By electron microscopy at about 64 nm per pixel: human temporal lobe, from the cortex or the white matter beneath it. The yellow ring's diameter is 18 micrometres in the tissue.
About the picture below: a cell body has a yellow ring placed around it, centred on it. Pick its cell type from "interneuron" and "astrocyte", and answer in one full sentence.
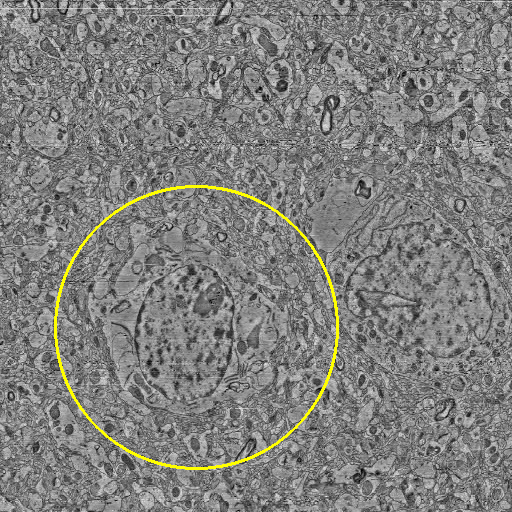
In the picture, an astrocyte is the cell sitting at the centre of the yellow ring.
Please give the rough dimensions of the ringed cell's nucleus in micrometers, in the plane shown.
In this plane the nucleus measures roughly 9 by 6 micrometres.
